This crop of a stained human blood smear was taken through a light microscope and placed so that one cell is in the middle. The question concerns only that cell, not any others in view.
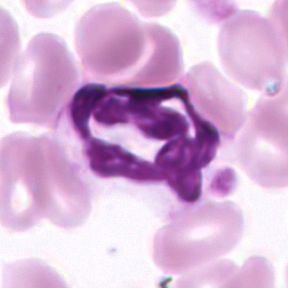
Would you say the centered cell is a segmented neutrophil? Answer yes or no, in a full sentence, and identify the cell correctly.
Yes, the cell located at the center is a segmented neutrophil.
